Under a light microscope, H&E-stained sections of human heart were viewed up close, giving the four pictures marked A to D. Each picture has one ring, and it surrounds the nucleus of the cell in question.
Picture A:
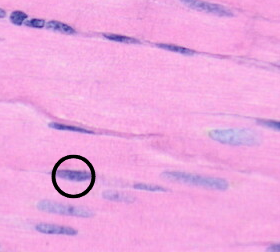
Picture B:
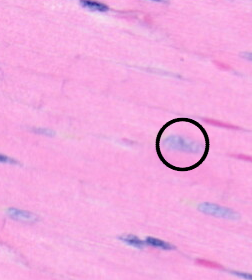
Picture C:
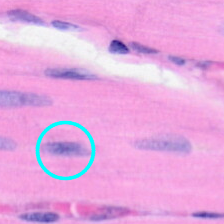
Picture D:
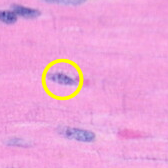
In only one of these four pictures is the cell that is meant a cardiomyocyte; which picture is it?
B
